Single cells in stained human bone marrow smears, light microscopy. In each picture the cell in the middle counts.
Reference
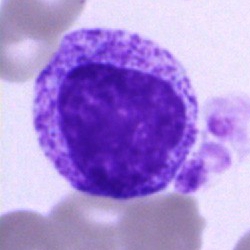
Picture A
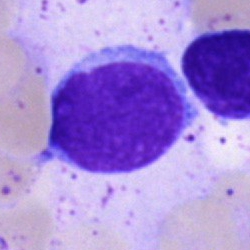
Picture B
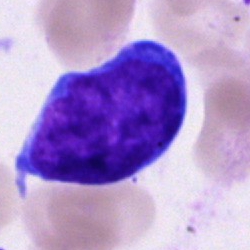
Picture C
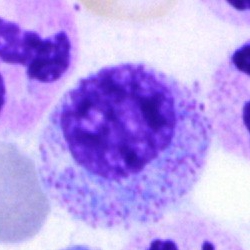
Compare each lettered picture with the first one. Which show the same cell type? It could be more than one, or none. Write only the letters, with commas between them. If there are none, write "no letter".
C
